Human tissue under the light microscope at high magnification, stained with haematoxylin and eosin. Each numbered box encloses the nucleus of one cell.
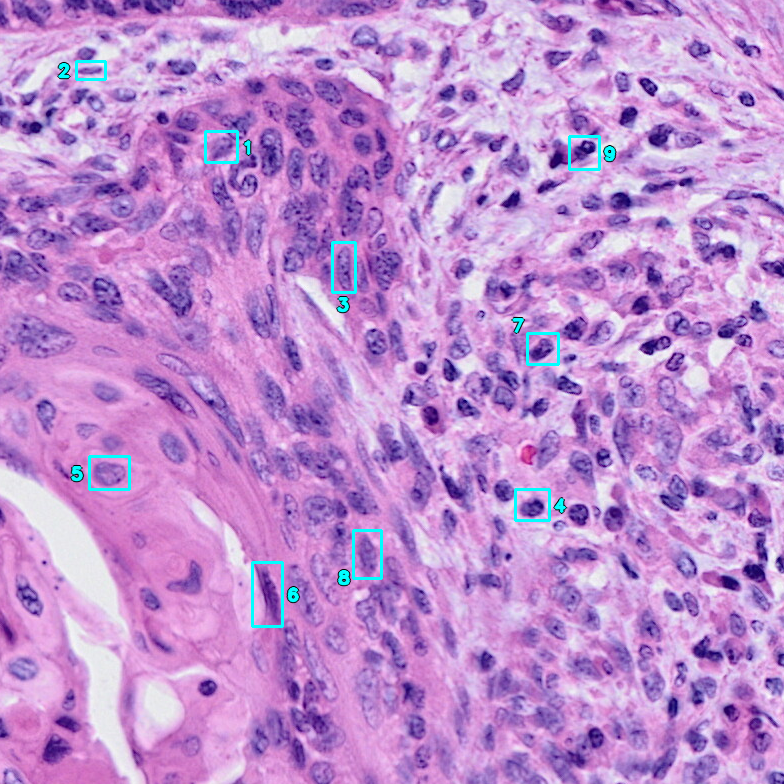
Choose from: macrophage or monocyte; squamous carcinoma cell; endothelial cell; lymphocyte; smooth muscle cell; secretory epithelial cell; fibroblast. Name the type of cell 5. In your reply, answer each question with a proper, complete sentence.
Corresponding to a squamous carcinoma cell is the cell labelled 5.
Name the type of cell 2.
Among the marked cells, number 2 is a fibroblast.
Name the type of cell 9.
The nucleus labelled 9 belongs to a lymphocyte.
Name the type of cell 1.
The cell assigned the number 1 is a squamous carcinoma cell.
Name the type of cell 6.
In this section, the cell numbered 6 is a squamous carcinoma cell.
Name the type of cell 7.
Numbered cell 7 is a lymphocyte in this tissue section.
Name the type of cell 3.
The cell that is numbered 3 is a squamous carcinoma cell.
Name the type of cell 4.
Here the cell numbered 4 is a lymphocyte.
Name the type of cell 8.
The cell referenced by the number 8 is a squamous carcinoma cell in this field.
